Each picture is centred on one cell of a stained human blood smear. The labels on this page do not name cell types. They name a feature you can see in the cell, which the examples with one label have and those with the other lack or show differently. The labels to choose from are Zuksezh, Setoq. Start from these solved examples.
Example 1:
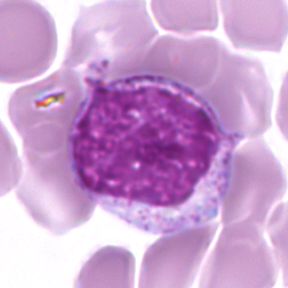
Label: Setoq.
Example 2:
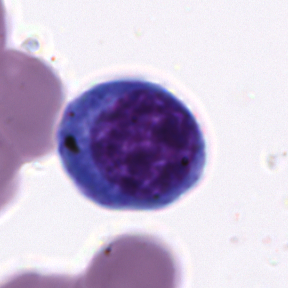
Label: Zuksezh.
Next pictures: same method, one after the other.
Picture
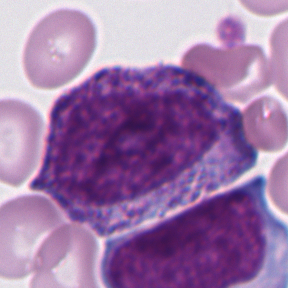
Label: Setoq.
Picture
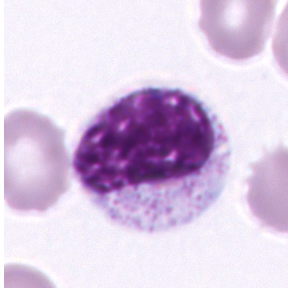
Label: Zuksezh.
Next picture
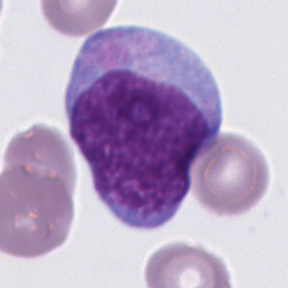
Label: Zuksezh.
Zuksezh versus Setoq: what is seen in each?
Zuksezh, smooth outline; Setoq, ragged outline or projections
